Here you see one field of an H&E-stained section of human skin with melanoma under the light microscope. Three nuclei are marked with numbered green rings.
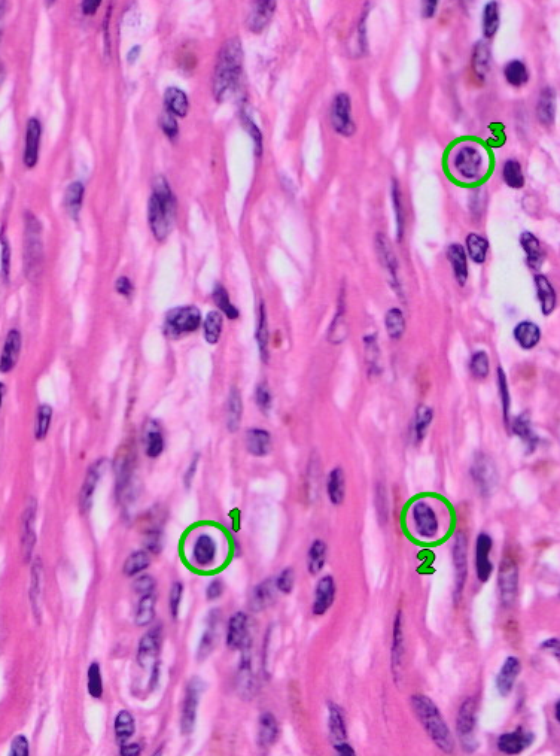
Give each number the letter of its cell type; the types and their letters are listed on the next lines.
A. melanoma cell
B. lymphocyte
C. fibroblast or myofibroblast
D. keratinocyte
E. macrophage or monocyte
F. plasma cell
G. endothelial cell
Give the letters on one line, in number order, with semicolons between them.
B; B; F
